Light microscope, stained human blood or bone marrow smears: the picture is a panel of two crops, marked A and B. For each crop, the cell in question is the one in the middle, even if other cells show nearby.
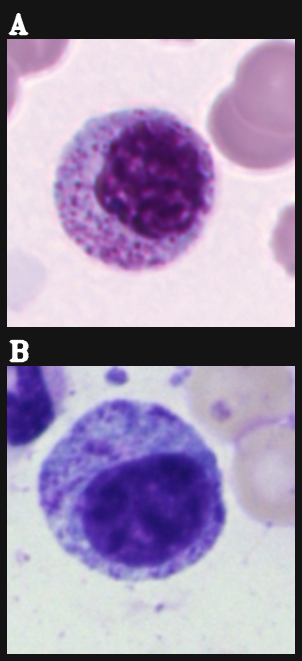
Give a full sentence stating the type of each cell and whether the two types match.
Yes, both crops have myelocytes as their central cells.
